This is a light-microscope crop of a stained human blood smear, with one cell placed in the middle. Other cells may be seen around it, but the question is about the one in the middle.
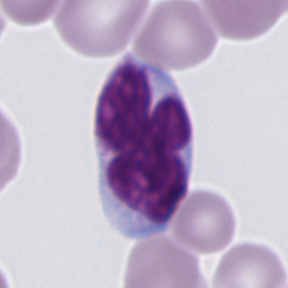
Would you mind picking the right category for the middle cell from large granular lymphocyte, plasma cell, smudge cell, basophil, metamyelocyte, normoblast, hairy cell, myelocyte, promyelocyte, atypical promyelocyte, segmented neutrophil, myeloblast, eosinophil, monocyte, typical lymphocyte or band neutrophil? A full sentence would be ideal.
Seen at the centre of the crop is a large granular lymphocyte.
